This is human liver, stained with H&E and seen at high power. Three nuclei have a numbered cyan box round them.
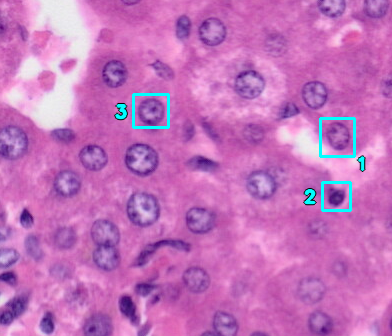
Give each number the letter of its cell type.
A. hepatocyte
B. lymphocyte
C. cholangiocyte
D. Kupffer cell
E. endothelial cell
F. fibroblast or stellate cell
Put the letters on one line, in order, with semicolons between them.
A; F; A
